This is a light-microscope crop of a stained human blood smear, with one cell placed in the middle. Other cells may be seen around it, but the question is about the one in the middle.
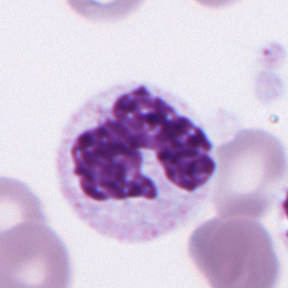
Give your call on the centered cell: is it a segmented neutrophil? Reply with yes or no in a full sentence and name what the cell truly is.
Yes, what sits in the middle of the crop is a segmented neutrophil.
